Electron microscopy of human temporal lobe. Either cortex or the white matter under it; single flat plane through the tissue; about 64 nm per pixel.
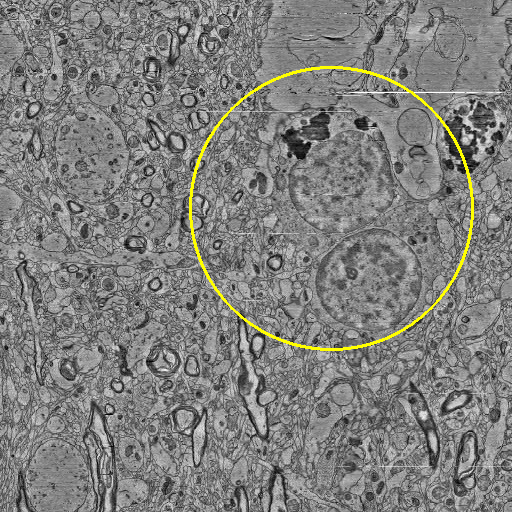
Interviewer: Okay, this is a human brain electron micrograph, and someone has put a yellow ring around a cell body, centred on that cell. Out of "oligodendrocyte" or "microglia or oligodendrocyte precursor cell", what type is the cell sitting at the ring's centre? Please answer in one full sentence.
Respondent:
The cell at the centre of the yellow ring in this picture is an oligodendrocyte.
